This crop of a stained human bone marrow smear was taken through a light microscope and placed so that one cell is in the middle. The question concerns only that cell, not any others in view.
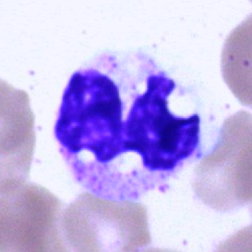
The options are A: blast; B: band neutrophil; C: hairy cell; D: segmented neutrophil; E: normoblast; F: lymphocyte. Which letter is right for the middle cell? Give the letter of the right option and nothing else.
D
